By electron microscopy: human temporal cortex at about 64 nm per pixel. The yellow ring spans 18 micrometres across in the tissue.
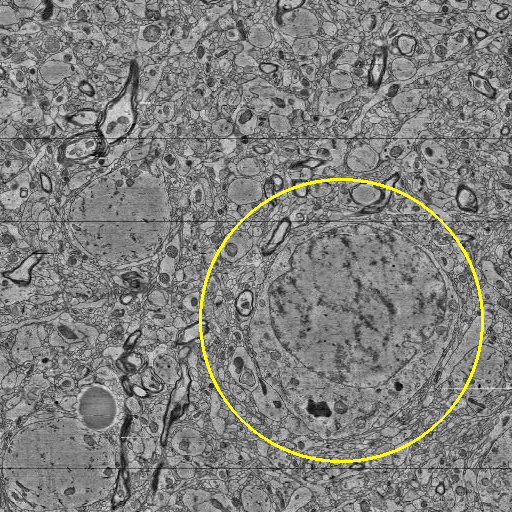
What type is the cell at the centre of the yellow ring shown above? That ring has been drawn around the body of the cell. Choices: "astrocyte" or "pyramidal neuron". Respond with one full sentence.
My answer is that a pyramidal neuron lies at the centre of the yellow ring above.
